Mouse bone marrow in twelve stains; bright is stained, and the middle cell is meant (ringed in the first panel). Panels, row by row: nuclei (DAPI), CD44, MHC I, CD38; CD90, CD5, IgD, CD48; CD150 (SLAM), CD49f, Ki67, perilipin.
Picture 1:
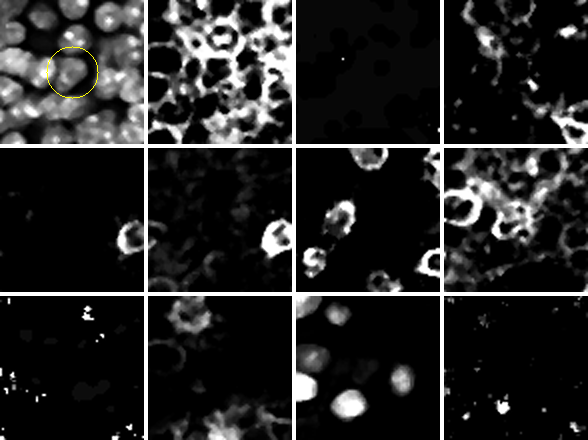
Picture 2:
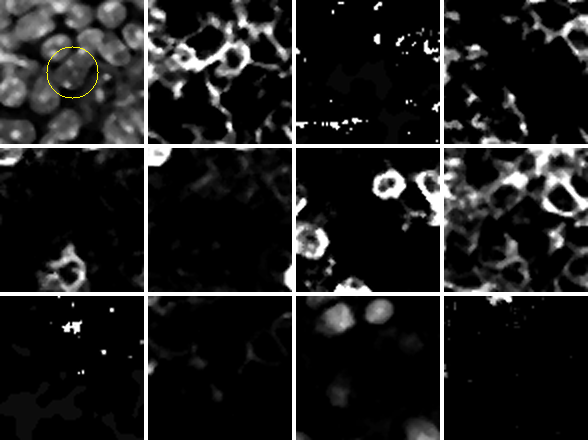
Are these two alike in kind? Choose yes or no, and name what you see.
No. First a monocyte, second a neutrophil.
